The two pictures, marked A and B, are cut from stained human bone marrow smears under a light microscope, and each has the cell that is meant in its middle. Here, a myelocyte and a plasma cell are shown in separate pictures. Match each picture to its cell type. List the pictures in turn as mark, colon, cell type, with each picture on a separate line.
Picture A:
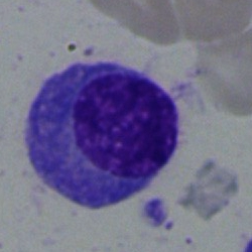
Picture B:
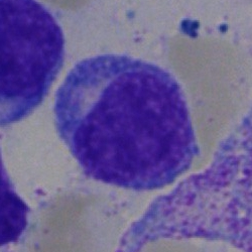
A: plasma cell
B: myelocyte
